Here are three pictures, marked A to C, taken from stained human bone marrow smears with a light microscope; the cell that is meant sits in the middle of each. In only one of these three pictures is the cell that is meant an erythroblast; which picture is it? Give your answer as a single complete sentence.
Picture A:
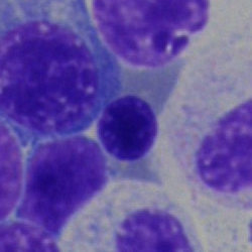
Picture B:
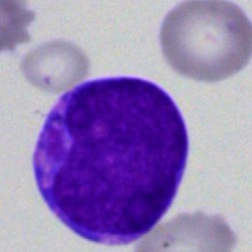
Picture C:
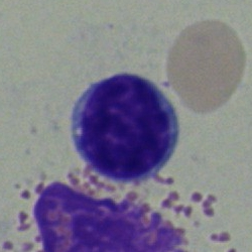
Picture A is the one that shows the erythroblast.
